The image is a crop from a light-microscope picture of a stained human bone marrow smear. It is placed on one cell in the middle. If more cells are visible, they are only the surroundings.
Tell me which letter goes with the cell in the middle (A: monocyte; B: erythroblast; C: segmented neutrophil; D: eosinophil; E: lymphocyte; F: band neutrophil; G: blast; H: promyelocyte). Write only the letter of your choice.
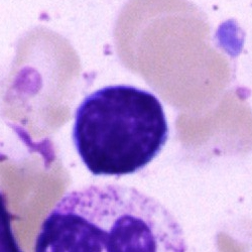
E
